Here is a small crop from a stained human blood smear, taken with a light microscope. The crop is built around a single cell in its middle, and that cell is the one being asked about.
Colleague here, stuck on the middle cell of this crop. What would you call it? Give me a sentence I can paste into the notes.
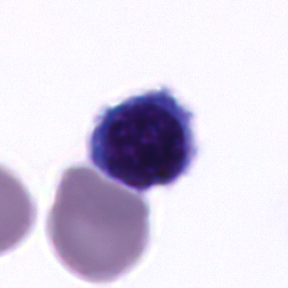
The cell in the exact centre of the crop is a plasma cell.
